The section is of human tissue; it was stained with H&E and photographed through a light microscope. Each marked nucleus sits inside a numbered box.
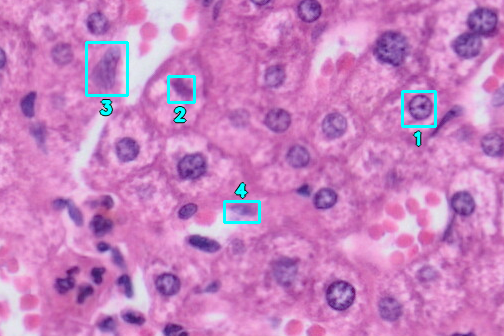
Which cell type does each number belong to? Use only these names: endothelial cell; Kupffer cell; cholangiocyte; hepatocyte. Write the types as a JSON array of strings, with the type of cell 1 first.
["hepatocyte", "hepatocyte", "Kupffer cell", "endothelial cell"]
